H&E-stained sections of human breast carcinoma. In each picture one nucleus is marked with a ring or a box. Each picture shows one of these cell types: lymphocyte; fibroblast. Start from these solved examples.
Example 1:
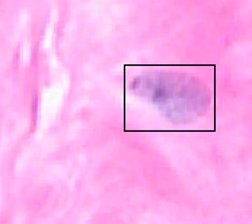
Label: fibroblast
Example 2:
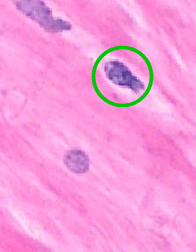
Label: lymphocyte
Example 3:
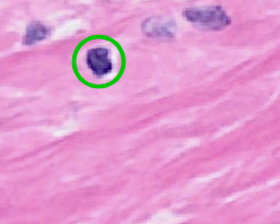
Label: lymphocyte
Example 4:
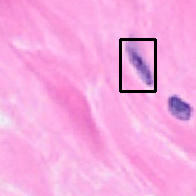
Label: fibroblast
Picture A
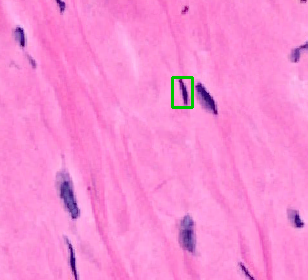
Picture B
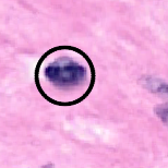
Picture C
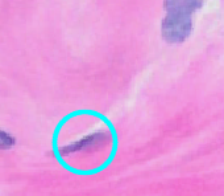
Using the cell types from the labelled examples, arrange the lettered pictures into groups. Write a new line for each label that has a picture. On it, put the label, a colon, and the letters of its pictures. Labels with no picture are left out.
lymphocyte: B
fibroblast: A, C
